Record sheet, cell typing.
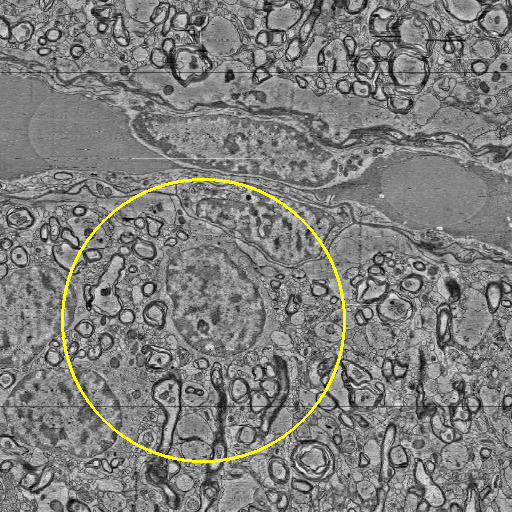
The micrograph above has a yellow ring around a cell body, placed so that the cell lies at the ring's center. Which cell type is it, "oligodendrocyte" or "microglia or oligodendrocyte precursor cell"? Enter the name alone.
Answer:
oligodendrocyte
